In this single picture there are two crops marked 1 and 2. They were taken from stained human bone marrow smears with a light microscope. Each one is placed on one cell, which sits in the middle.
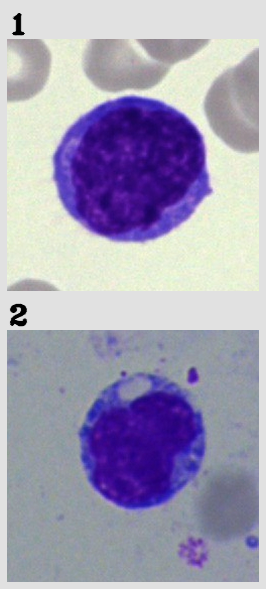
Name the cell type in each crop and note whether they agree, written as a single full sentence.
No, crop 1 and crop 2 show a blast and a lymphocyte respectively.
